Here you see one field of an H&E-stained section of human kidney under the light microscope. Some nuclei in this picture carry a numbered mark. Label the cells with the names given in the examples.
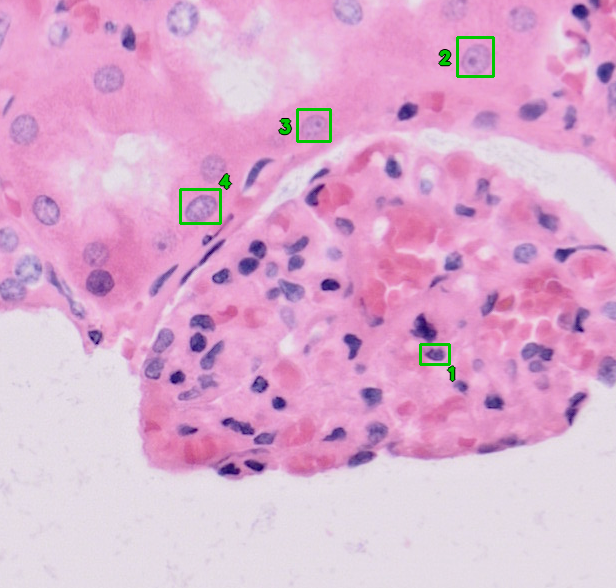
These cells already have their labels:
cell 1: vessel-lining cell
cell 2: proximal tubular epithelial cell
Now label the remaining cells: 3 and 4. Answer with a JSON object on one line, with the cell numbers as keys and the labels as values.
{"3": "proximal tubular epithelial cell", "4": "proximal tubular epithelial cell"}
